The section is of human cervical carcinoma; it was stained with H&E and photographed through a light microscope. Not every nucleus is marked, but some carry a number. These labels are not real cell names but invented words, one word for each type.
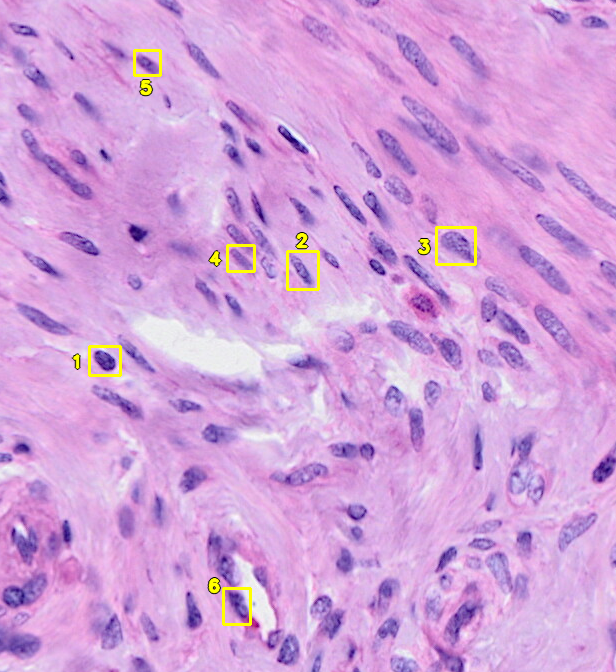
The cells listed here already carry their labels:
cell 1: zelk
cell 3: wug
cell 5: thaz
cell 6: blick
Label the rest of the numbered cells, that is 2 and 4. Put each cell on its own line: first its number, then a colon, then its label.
2: wug
4: thaz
